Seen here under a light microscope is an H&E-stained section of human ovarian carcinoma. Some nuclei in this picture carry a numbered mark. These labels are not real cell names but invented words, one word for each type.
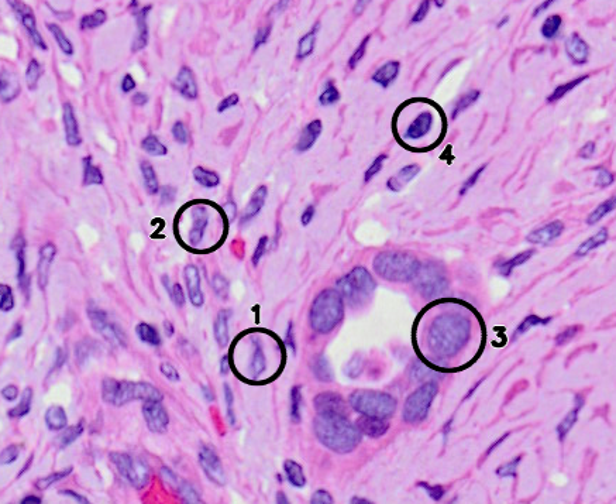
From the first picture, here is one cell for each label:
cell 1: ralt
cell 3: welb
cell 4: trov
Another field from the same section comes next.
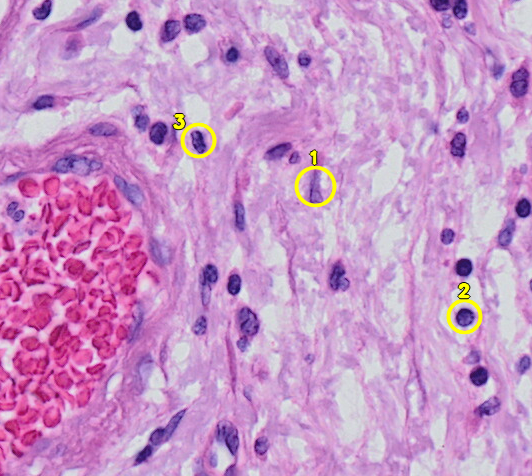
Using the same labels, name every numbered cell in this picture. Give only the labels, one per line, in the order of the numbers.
ralt
trov
trov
